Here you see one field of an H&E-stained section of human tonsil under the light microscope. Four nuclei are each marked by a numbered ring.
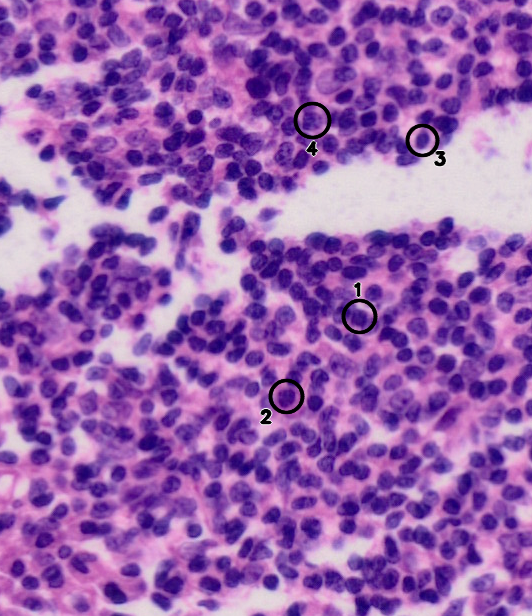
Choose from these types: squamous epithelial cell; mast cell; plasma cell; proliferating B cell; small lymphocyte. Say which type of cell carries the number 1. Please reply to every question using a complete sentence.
As for number 1, that cell is a small lymphocyte.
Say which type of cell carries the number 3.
The cell whose nucleus carries the number 3 is a small lymphocyte.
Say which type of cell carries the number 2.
Of the numbered cells, the one labelled 2 is a plasma cell.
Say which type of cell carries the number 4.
Of the numbered cells, the one labelled 4 is a small lymphocyte.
